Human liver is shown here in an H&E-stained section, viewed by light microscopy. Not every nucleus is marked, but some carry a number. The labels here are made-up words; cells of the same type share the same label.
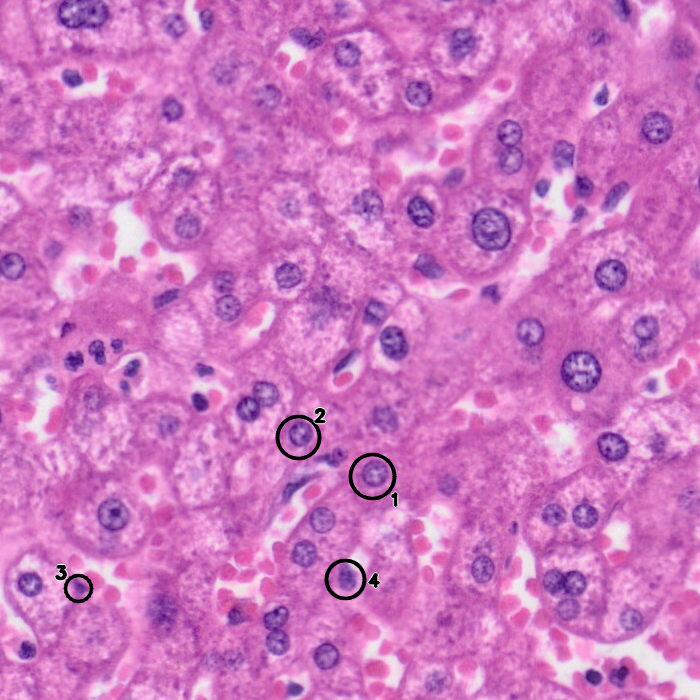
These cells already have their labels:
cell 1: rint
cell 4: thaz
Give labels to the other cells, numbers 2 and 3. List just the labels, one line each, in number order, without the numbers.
rint
thaz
